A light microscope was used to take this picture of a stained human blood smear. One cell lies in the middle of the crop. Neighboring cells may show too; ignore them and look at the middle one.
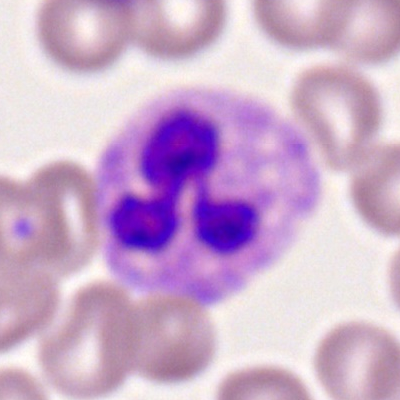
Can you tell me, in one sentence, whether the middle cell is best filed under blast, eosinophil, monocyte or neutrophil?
Of the cells in this crop, the central one is a neutrophil.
